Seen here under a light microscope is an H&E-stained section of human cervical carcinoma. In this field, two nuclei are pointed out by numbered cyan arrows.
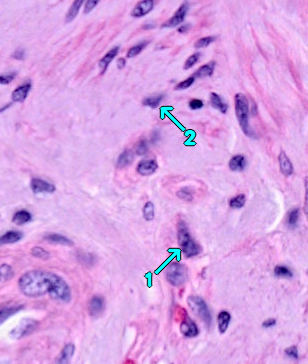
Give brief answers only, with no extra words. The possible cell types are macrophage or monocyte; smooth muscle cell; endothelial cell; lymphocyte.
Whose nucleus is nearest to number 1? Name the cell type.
endothelial cell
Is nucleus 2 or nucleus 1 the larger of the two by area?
1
